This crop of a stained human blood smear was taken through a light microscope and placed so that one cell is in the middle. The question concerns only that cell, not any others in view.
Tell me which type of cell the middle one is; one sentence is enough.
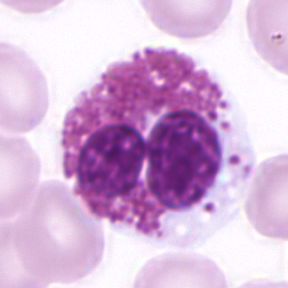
Among the cells in view, the one in the middle is an eosinophil.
